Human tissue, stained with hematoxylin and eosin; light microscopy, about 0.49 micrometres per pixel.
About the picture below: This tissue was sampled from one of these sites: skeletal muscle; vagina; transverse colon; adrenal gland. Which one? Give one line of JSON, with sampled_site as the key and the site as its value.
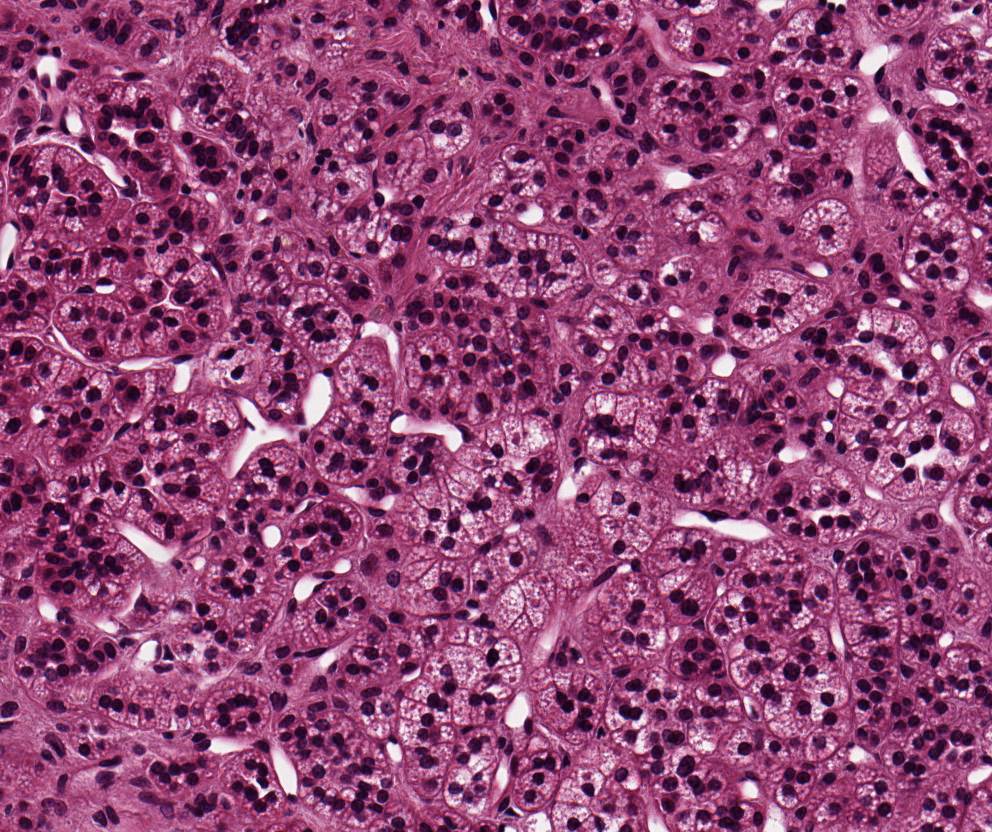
{"sampled_site": "adrenal gland"}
